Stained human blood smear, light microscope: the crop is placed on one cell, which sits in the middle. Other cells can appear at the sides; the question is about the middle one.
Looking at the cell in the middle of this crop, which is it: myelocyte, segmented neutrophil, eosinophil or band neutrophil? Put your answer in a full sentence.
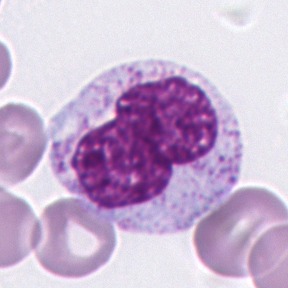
This crop is built around a band neutrophil at its centre.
